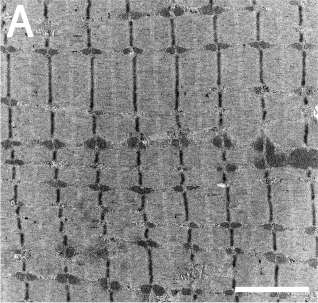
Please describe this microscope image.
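This is skeletal muscle fibre seen longitudinally at the ultrastructural level, showing regular, highly ordered and aligned myofibrils. Dark, narrow Z-discs cross the field as straight, parallel lines at even spacing, dividing the myofibrils into repeating sarcomeres of similar length. The Z-discs of neighbouring myofibrils lie in register, so the striations run continuously across the fibre. Between them fine longitudinal filaments give a uniform grey texture with faint banding. Small dark oval bodies, consistent with mitochondria, lie in rows between myofibrils close to the Z-discs. No disruption, smearing or loss of banding is seen.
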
